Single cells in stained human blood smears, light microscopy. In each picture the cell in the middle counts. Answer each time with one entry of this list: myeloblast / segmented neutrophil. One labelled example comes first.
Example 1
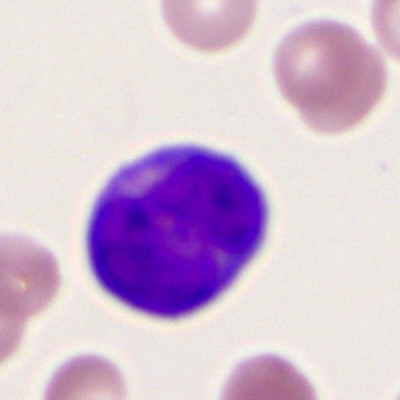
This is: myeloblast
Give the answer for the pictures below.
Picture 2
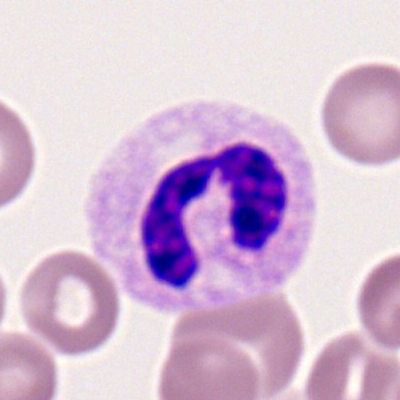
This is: segmented neutrophil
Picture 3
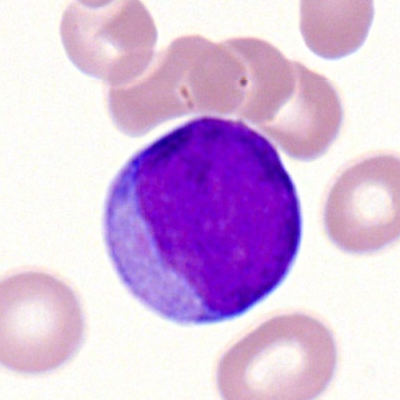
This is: myeloblast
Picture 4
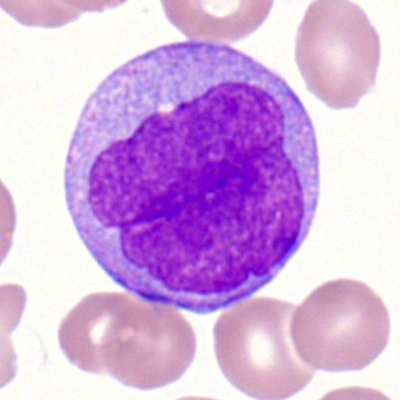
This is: myeloblast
